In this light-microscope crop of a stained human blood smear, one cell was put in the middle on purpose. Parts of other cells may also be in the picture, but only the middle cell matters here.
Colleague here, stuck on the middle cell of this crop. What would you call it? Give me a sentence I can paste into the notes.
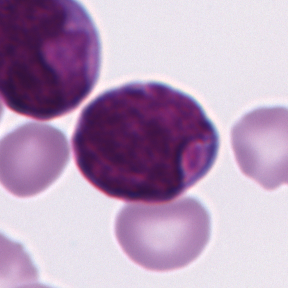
The cell found in the middle of this crop is a myeloblast.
